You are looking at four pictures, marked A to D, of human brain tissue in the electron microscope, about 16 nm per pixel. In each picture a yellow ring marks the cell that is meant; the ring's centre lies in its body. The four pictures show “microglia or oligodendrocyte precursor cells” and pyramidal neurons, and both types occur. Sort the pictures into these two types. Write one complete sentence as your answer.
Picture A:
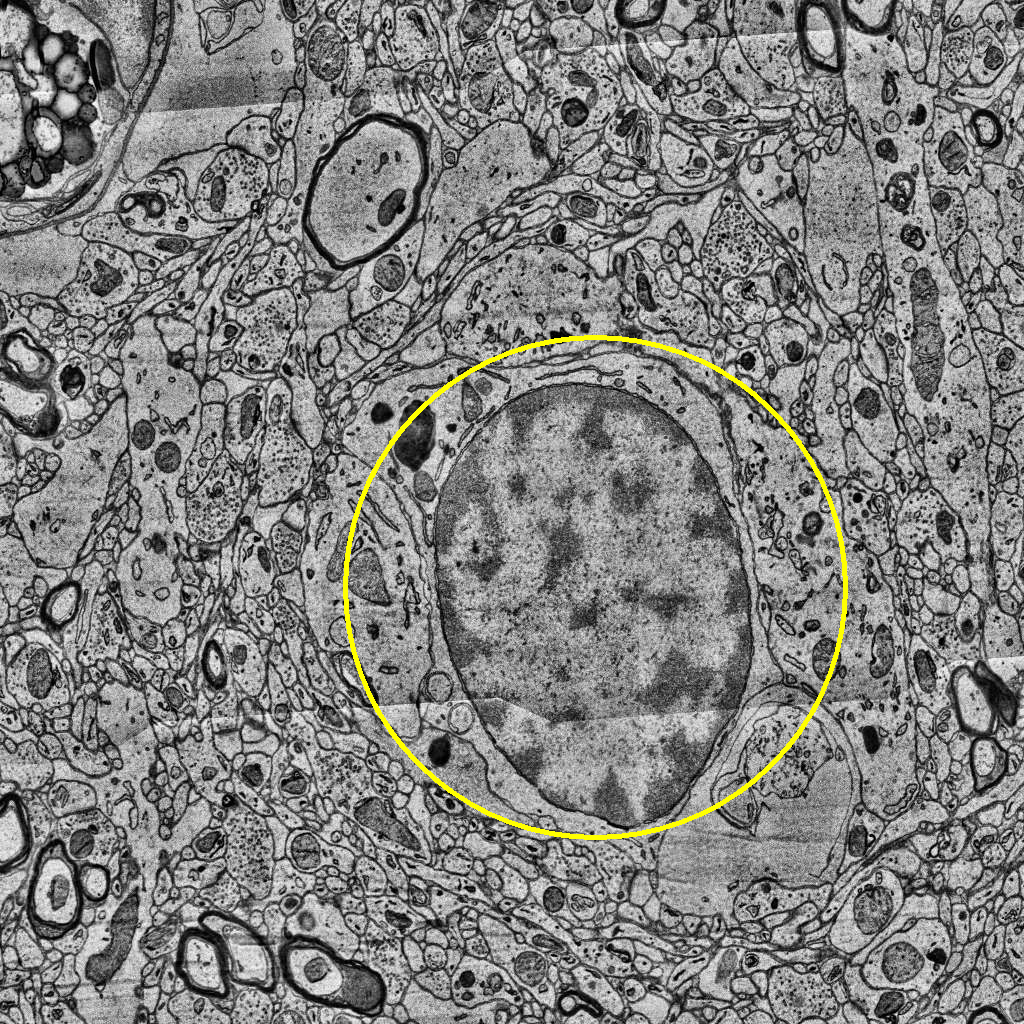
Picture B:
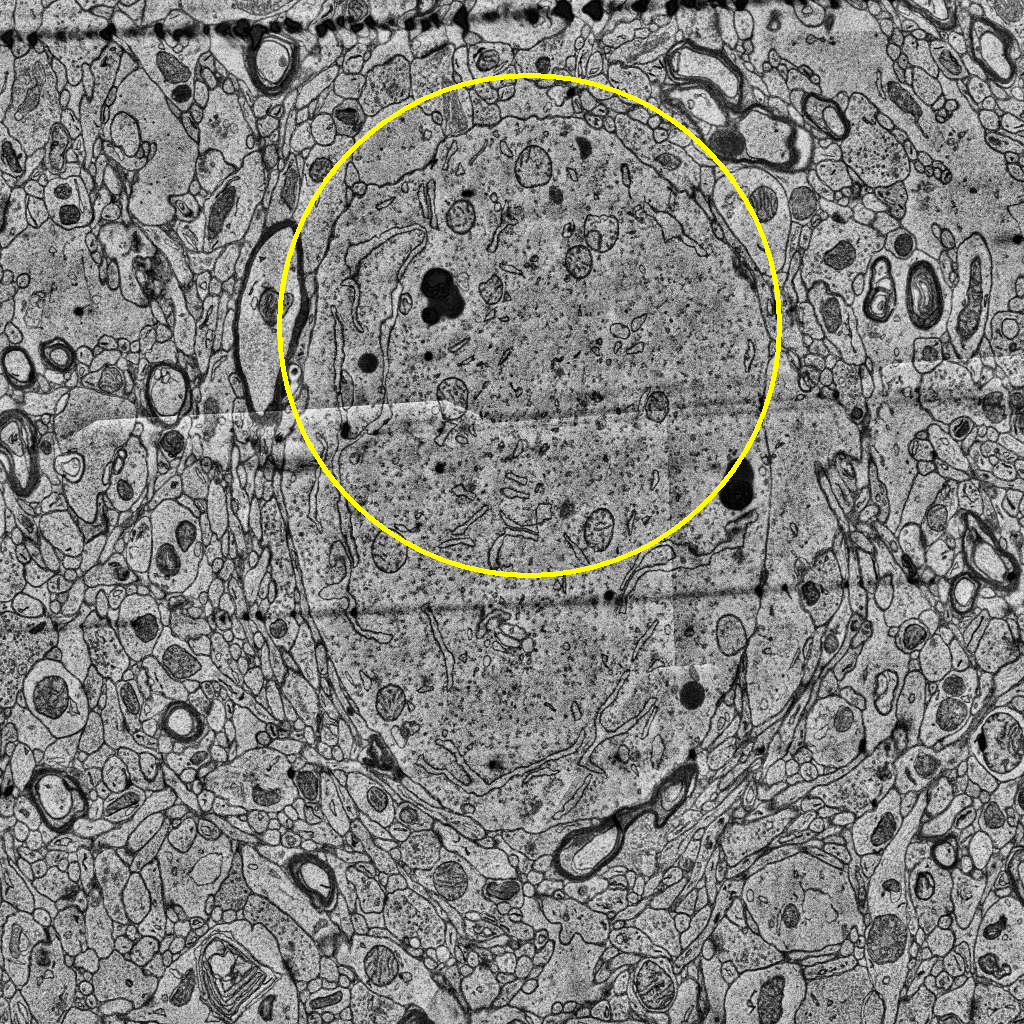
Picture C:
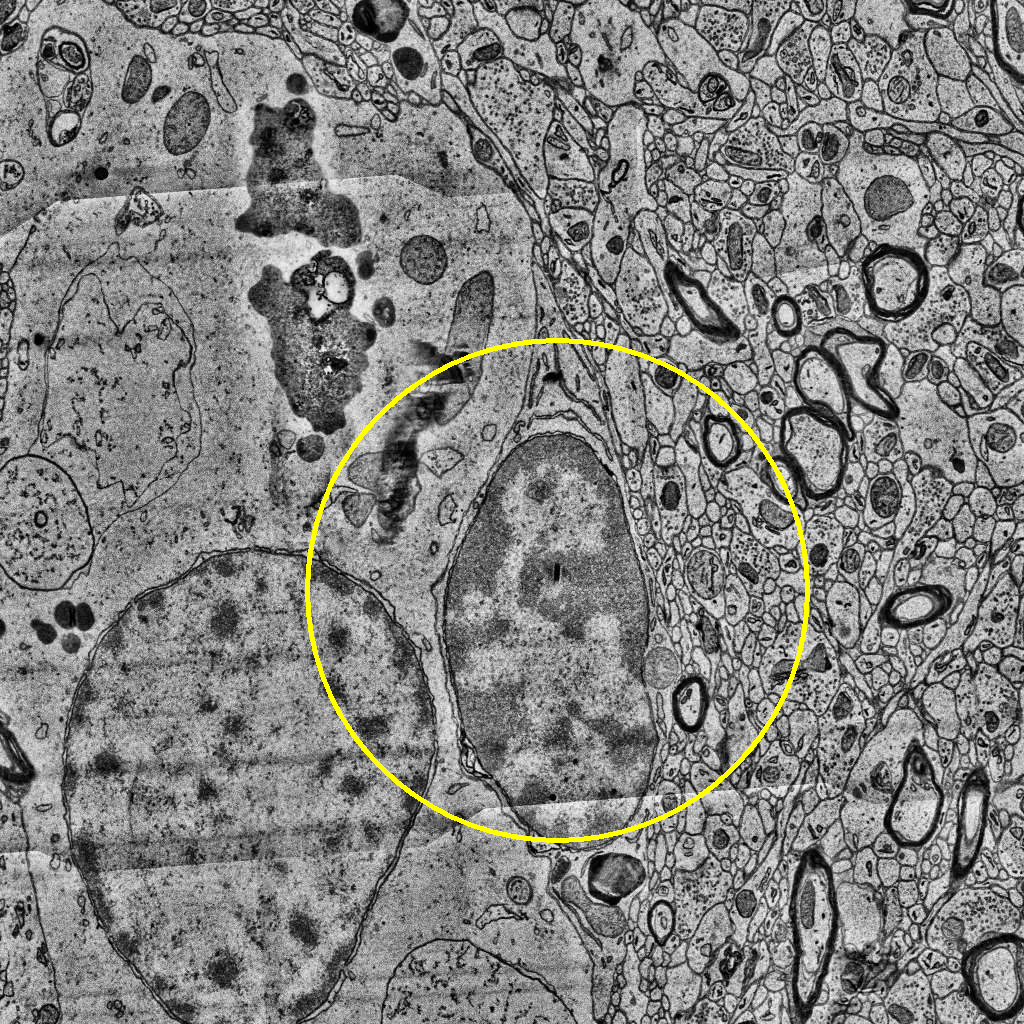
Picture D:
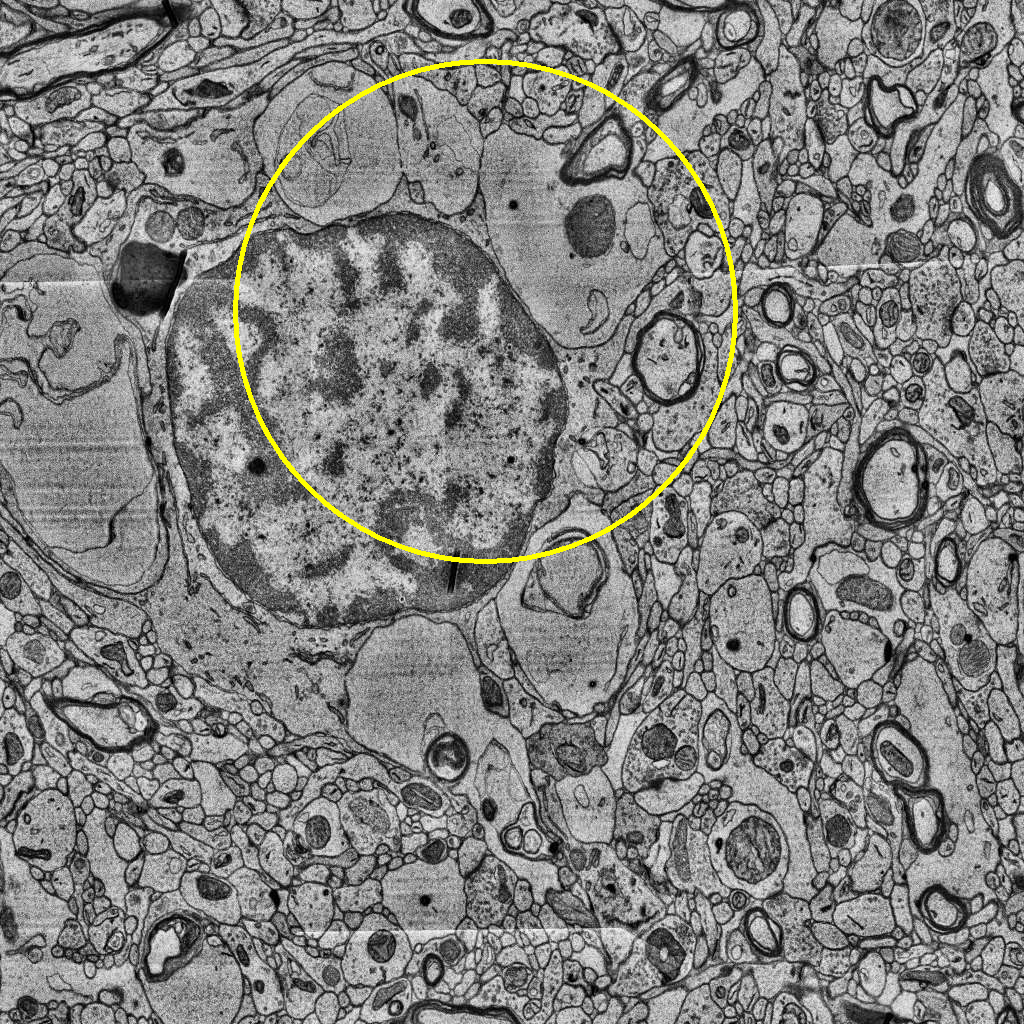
Pictures A, C and D show “microglia or oligodendrocyte precursor cells”; picture B shows a pyramidal neuron.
